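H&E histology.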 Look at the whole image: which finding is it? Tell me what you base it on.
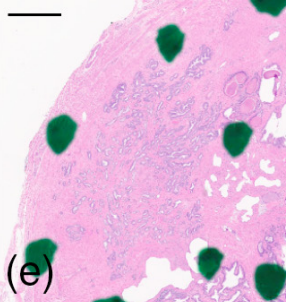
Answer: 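Prostatic carcinoma. Many small, crowded glands fill the central area. Pink fibromuscular stroma surrounds the crowded gland field.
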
